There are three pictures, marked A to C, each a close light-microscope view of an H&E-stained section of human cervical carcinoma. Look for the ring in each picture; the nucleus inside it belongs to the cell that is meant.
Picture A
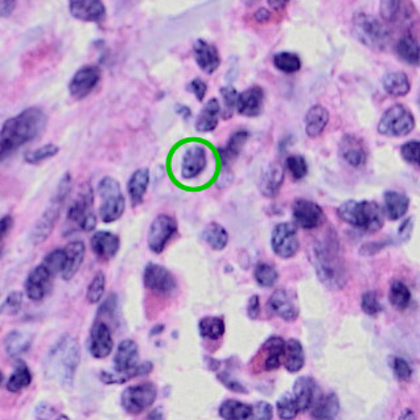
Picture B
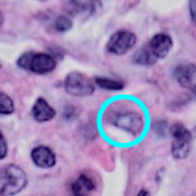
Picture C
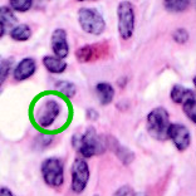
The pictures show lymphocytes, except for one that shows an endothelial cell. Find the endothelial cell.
B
